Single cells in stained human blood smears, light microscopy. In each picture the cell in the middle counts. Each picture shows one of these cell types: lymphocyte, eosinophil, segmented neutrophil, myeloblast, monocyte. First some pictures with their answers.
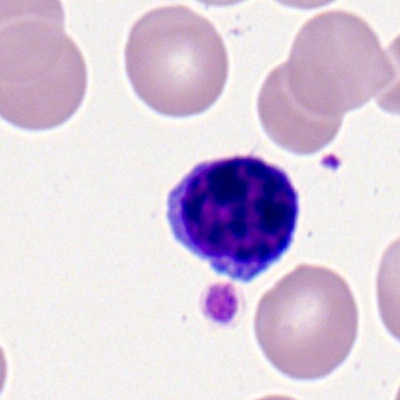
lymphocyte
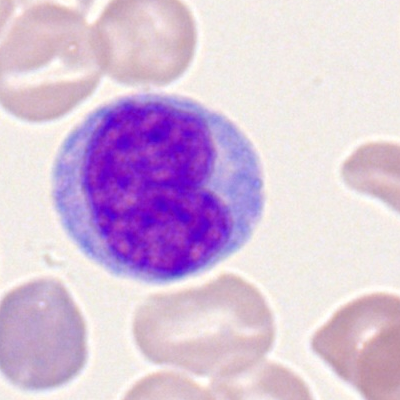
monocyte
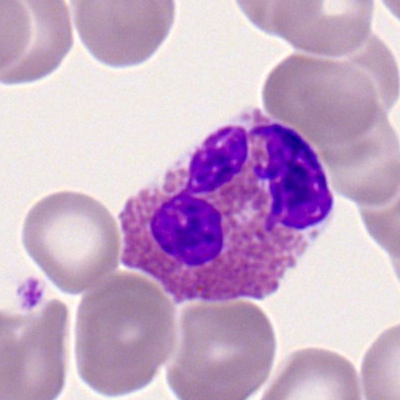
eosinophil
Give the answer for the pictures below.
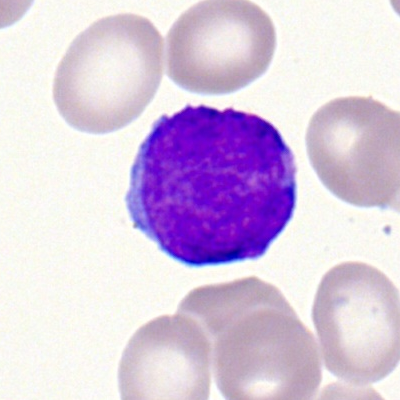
myeloblast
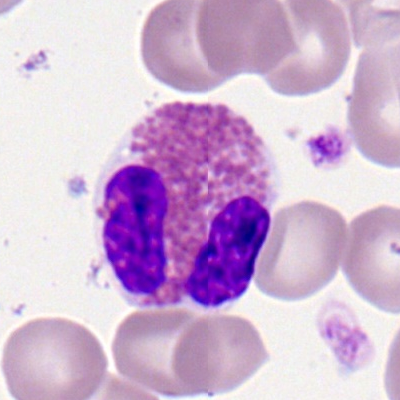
eosinophil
